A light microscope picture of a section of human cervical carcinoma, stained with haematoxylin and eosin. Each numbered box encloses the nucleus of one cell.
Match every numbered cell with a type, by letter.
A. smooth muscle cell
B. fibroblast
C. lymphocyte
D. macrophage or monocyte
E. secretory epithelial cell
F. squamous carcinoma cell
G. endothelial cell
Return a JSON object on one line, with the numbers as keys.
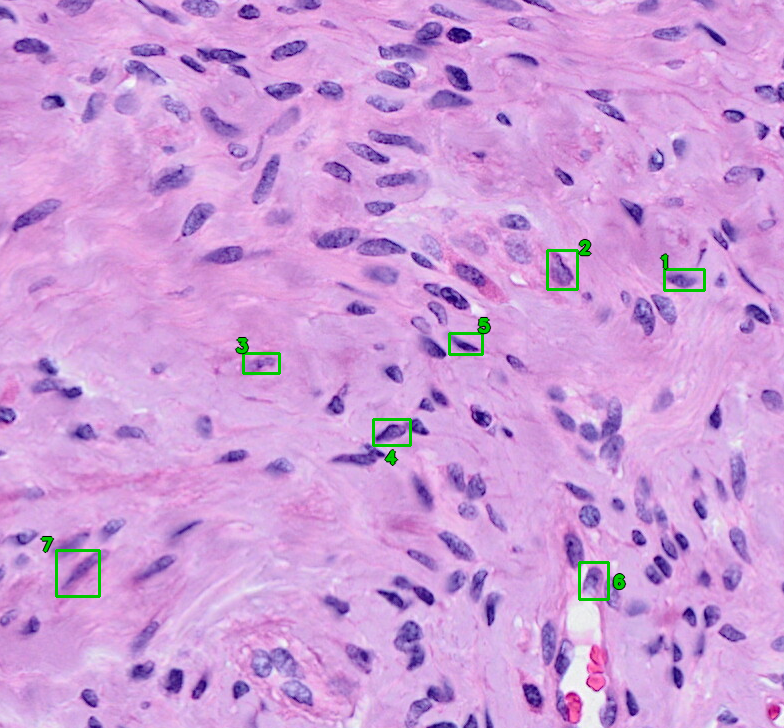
{"1": "B", "2": "A", "3": "A", "4": "B", "5": "B", "6": "G", "7": "A"}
